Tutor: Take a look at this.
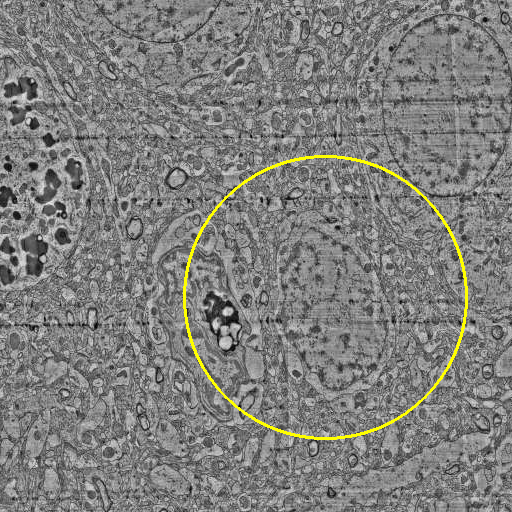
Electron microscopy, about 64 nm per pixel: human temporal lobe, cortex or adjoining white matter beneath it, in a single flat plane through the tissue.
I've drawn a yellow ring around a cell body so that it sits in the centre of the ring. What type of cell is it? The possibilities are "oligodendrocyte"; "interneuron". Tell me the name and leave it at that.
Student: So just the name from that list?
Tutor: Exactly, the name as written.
interneuron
